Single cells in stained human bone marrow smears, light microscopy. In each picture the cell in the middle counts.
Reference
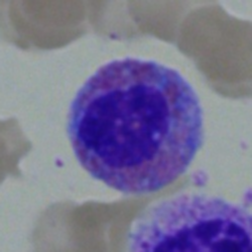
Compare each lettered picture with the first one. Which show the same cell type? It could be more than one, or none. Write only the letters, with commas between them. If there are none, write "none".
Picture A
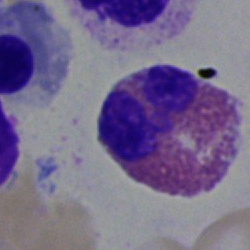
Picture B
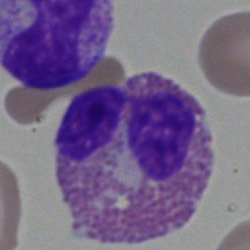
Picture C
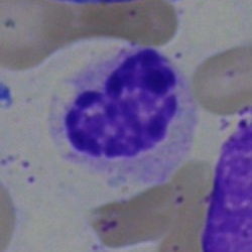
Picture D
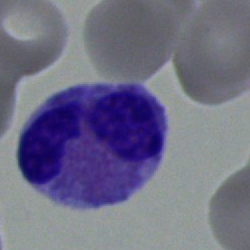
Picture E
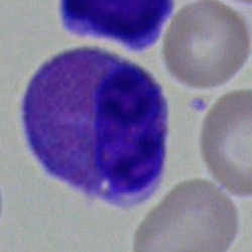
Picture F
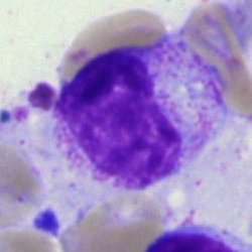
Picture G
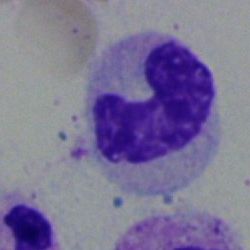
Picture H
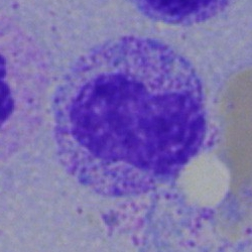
A, B, D, E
